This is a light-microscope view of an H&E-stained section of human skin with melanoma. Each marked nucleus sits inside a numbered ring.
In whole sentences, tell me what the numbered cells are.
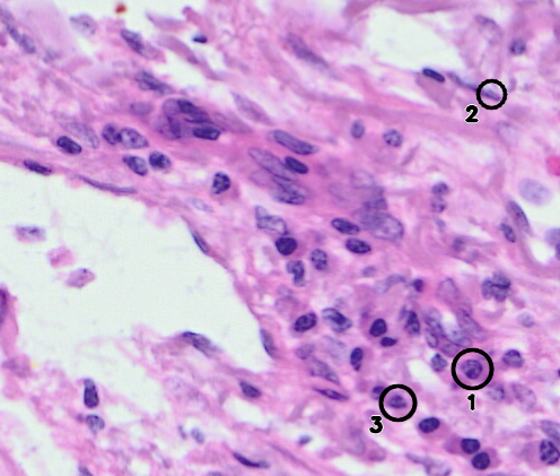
Cell 1 is a plasma cell, cell 2 is a fibroblast or myofibroblast and cell 3 is a plasma cell.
